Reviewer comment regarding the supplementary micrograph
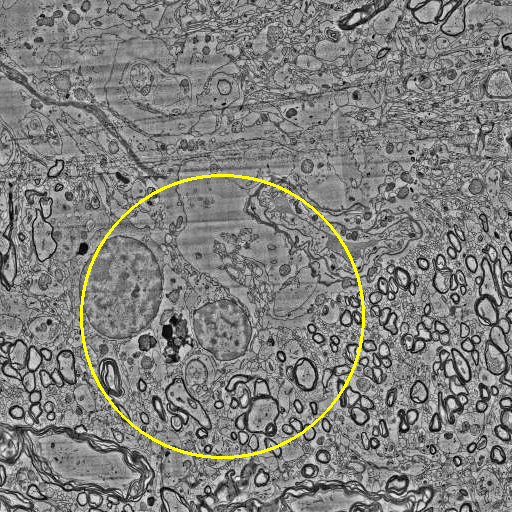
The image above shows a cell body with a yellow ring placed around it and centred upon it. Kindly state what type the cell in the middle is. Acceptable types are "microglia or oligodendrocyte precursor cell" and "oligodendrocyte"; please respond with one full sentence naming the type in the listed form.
In the image above, the cell on which the yellow ring is centred is a microglial cell or oligodendrocyte precursor cell.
